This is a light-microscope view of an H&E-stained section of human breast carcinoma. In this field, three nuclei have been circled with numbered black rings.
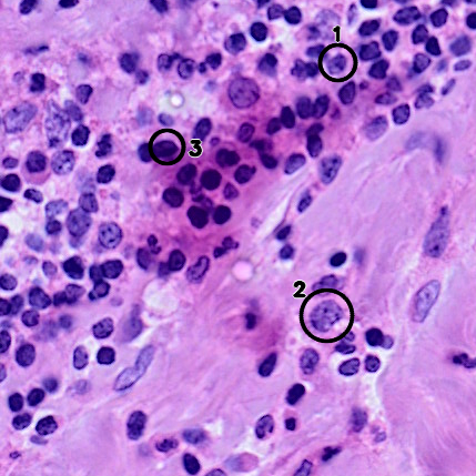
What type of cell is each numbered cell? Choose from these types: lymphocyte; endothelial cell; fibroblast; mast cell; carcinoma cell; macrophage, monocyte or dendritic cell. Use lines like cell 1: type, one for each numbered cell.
cell 1: lymphocyte
cell 2: macrophage, monocyte or dendritic cell
cell 3: lymphocyte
